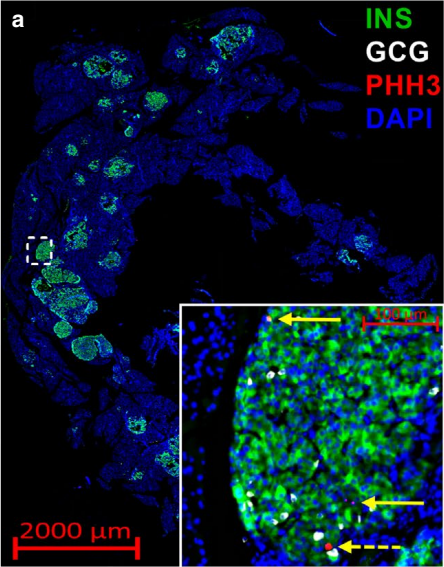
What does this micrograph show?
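This is a low-power view of pancreas in which many rounded islets stand out as green clusters against the blue-nuclei background of the surrounding tissue. The enlarged islet shows densely packed cells filled with green cytoplasm around blue nuclei, with a few white-stained cells scattered mainly toward its edge.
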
